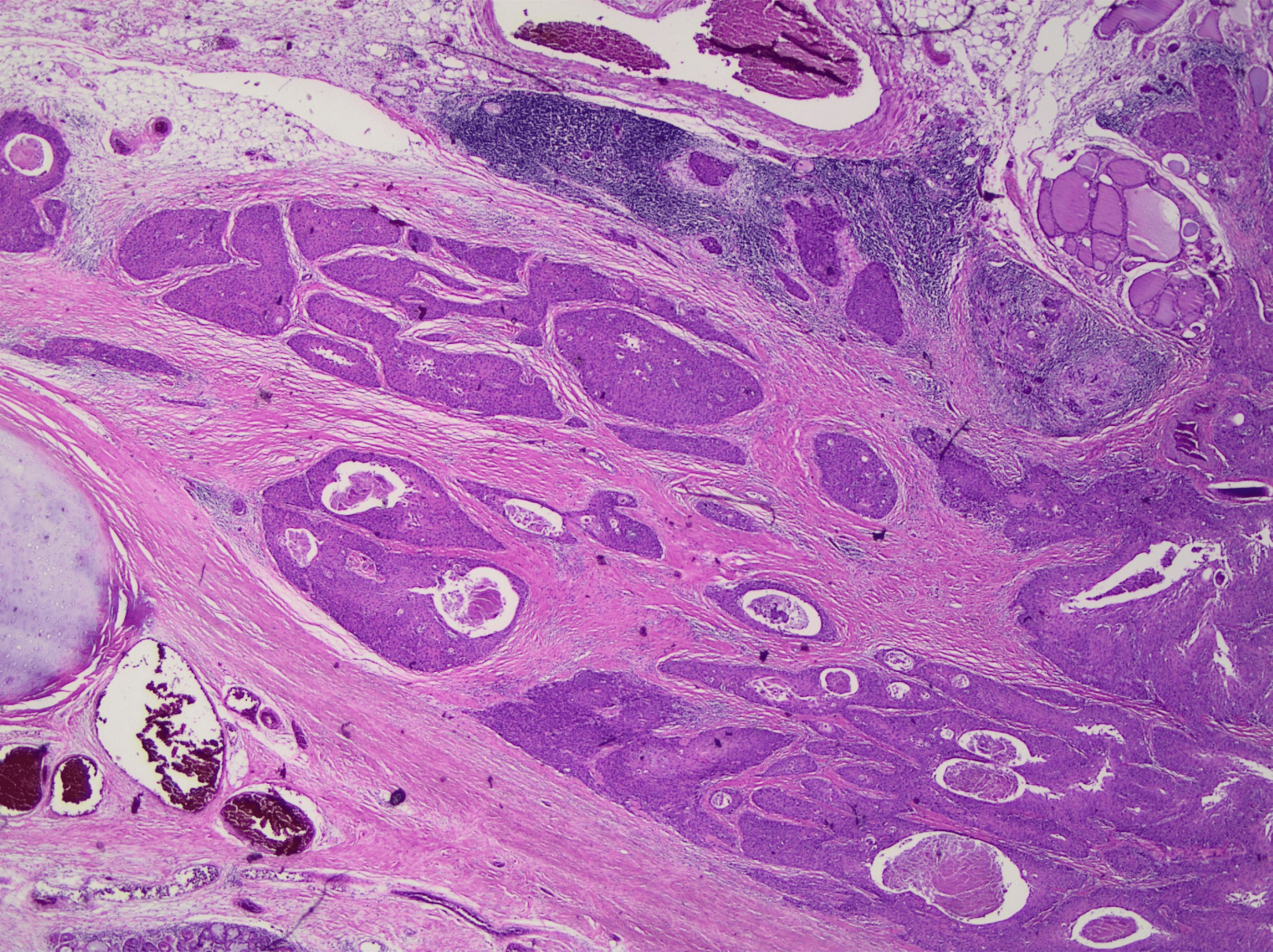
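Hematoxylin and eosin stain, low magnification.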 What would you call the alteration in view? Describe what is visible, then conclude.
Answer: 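Irregular nests and sheets of crowded purple-staining tumour cells lie in pink fibrous stroma. Several nests have central cavities holding pale pink debris. The nests spread across the field in an infiltrative pattern. The answer: Squamous cell carcinoma.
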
